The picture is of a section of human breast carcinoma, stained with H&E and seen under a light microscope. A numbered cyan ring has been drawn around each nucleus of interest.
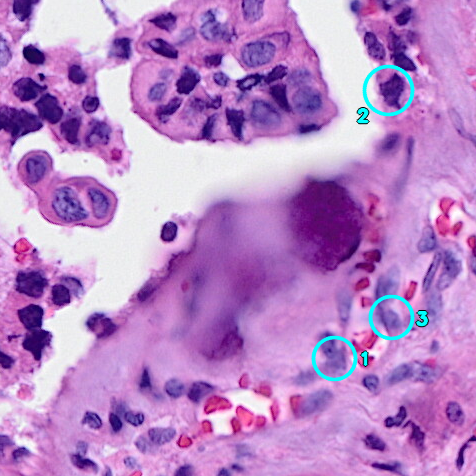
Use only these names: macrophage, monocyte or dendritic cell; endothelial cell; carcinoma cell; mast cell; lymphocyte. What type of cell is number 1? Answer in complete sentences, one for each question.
The numeral 1 marks an endothelial cell in this section.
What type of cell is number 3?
Denoted by the label 3 in the section is an endothelial cell.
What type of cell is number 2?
Classified as a carcinoma cell is the cell with the number 2.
